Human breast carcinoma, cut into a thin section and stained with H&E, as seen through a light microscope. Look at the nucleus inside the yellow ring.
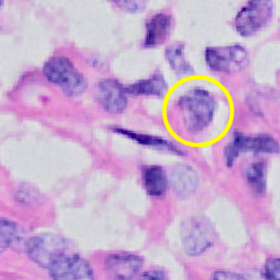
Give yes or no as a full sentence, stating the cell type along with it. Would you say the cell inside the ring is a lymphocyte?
No, kindly revise that, as the cell inside the ring is a carcinoma cell rather than a lymphocyte.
